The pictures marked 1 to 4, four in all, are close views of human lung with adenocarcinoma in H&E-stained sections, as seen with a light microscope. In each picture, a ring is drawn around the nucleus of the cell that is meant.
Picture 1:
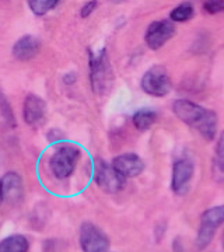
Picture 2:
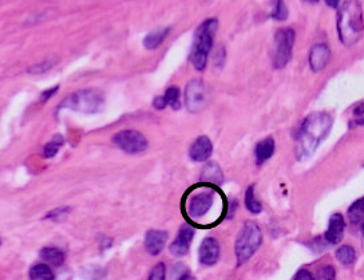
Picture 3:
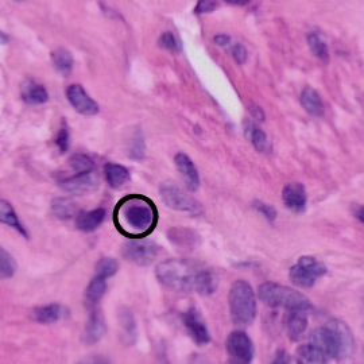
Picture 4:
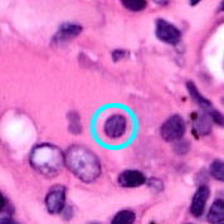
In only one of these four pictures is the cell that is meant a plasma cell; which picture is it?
3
